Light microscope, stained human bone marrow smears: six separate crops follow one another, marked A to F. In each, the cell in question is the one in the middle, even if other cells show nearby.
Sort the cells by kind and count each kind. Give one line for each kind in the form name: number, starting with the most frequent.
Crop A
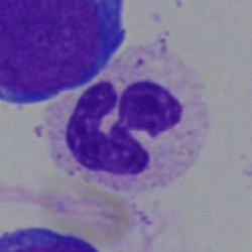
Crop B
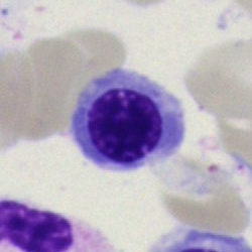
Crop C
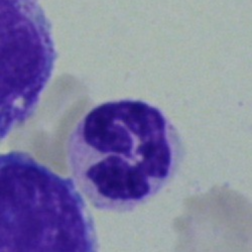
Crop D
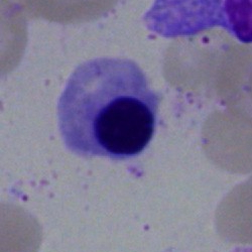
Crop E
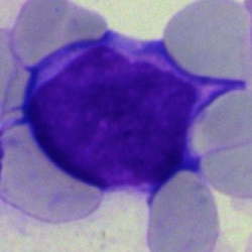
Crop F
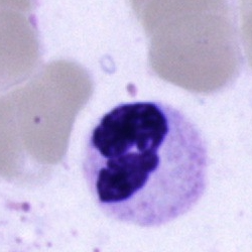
segmented neutrophil: 3
erythroblast: 2
blast: 1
